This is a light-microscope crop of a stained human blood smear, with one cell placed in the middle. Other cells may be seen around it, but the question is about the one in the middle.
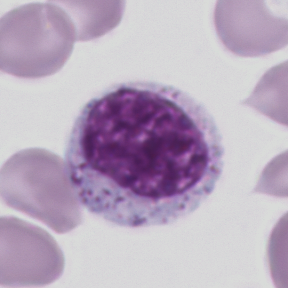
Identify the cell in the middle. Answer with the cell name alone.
metamyelocyte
